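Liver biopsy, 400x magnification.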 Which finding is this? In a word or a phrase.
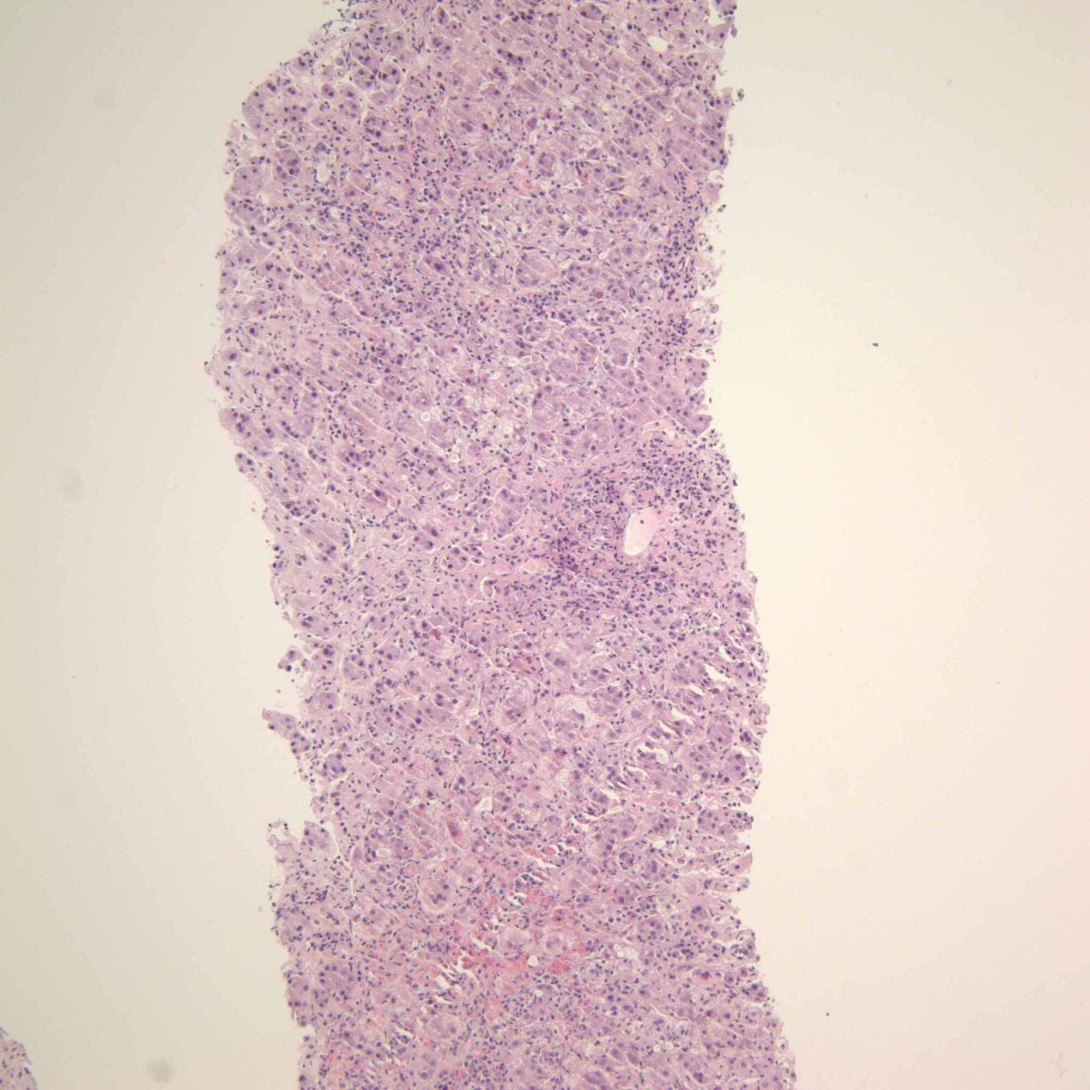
severe inflammation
